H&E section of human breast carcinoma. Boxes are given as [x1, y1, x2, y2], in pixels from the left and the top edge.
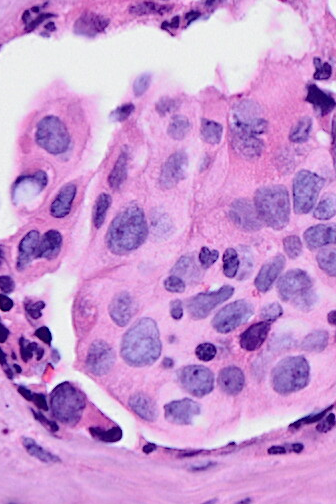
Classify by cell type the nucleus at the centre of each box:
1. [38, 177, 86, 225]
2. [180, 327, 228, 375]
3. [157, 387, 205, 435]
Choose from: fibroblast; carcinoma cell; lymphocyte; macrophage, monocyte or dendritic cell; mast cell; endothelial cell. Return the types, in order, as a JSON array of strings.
["carcinoma cell", "lymphocyte", "carcinoma cell"]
